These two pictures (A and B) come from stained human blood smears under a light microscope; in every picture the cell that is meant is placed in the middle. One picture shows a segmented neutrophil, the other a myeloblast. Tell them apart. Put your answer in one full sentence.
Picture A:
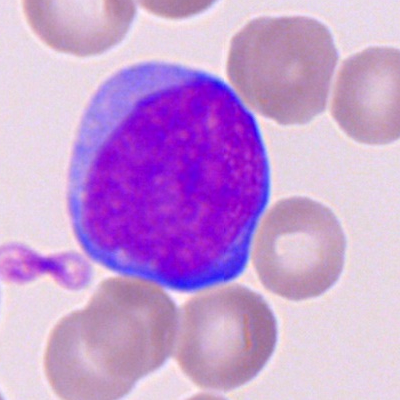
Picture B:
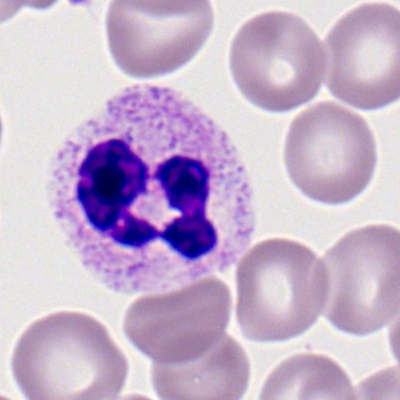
Picture A shows a myeloblast and picture B shows a segmented neutrophil.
